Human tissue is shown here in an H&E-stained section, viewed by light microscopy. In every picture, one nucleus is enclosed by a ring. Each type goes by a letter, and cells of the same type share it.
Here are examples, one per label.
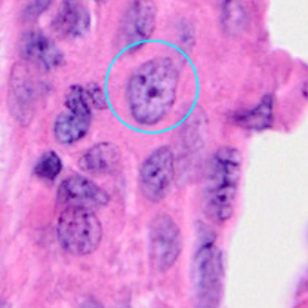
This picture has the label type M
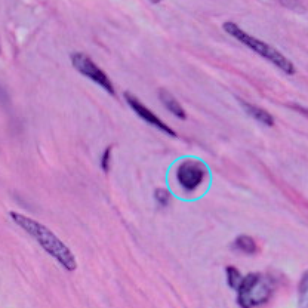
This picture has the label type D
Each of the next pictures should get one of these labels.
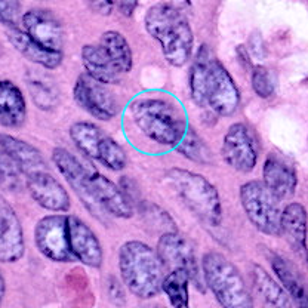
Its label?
type M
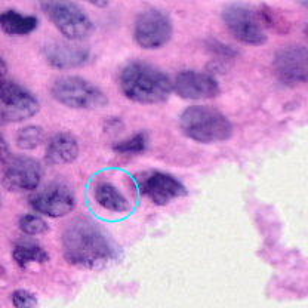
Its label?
type M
